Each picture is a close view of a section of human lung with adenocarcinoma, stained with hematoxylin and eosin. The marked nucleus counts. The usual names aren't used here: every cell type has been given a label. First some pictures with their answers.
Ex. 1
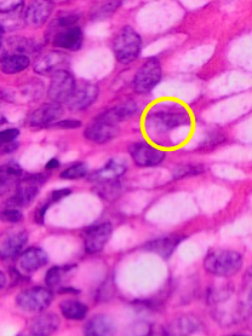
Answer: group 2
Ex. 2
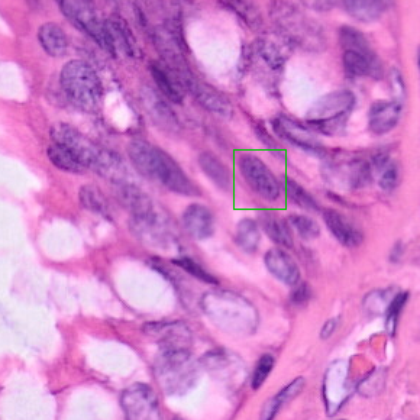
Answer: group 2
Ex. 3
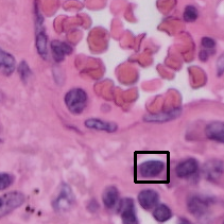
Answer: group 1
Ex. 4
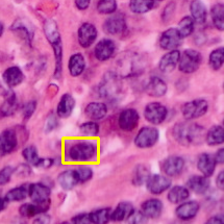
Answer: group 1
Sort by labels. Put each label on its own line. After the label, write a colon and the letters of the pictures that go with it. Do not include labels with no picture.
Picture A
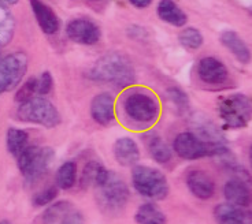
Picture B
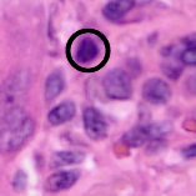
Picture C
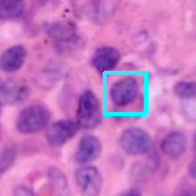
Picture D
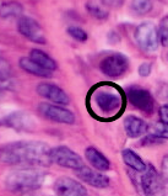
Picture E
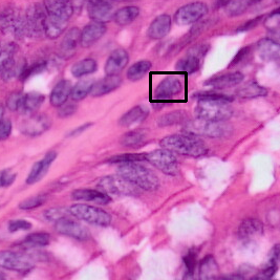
group 2: E
group 1: A, B, C, D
